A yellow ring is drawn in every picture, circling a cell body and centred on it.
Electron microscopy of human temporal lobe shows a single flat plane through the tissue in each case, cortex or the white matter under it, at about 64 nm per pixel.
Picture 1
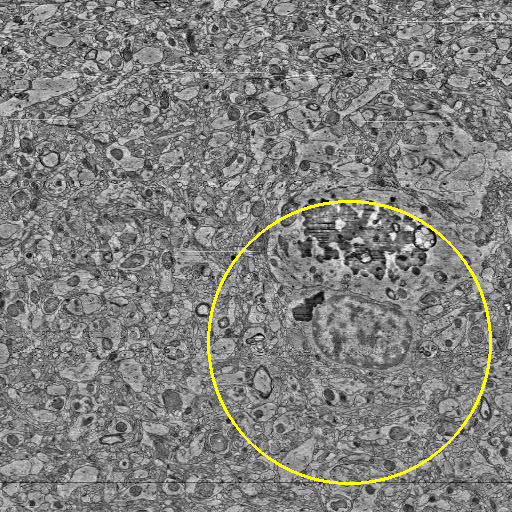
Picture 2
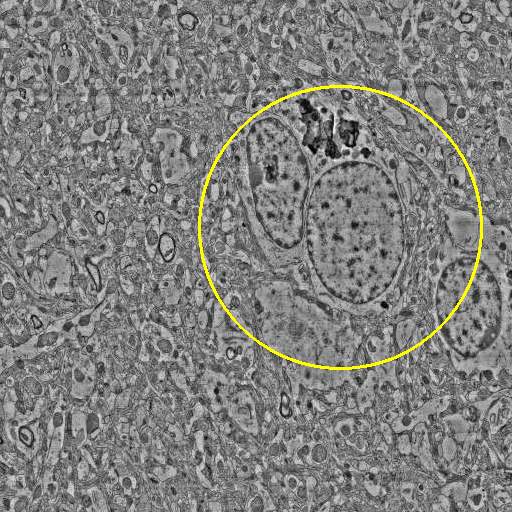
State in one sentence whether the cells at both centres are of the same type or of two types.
The cells at the two ring centres, one per picture, are of two types.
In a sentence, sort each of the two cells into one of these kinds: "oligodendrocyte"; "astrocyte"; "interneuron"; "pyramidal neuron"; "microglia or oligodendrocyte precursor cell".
The first of the two cells is an oligodendrocyte, and the second is an astrocyte.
